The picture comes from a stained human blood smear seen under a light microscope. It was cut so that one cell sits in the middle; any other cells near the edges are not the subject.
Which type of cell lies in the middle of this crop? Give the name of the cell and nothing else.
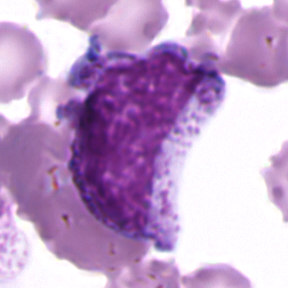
promyelocyte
